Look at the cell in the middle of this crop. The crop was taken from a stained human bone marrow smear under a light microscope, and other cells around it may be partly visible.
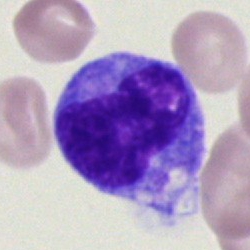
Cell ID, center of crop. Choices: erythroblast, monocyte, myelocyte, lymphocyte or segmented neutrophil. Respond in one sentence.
Positioned in the middle of the crop is a monocyte.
